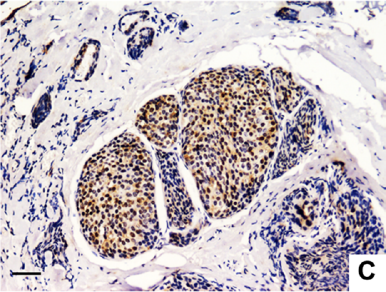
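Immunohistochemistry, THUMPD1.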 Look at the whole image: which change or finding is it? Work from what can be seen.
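Large rounded spaces filled solidly with crowded cells. The cell nests have smooth, sharp borders toward the surrounding stroma. On this evidence: carcinoma in situ.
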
